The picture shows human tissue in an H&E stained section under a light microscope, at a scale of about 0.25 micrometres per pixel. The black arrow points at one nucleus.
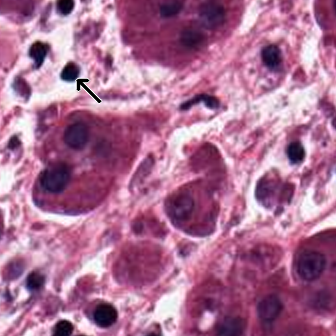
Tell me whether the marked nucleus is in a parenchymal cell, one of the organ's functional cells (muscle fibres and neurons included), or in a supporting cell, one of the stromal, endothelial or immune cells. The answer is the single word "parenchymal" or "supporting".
supporting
